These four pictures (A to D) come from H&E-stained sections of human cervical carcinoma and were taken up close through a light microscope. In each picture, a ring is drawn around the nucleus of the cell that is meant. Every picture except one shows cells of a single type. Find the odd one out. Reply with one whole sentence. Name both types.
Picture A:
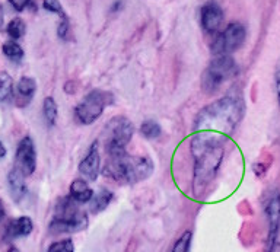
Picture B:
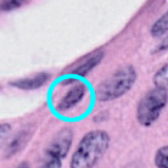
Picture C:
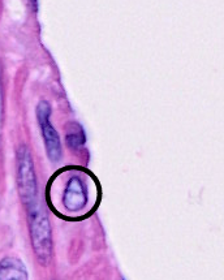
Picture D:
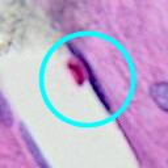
The different one is picture B; it shows a squamous carcinoma cell, whereas all the others show endothelial cells.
